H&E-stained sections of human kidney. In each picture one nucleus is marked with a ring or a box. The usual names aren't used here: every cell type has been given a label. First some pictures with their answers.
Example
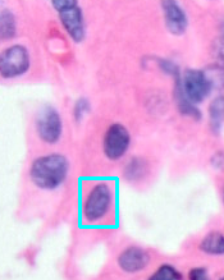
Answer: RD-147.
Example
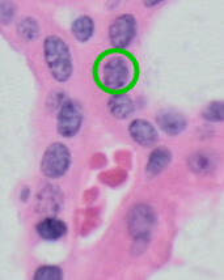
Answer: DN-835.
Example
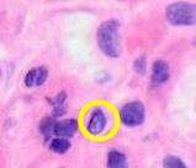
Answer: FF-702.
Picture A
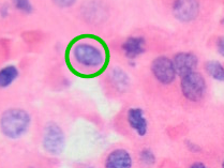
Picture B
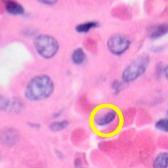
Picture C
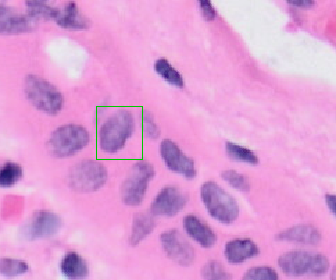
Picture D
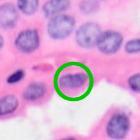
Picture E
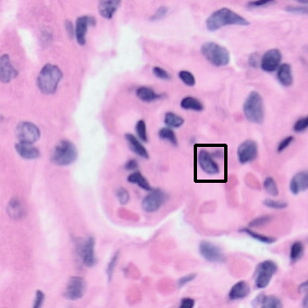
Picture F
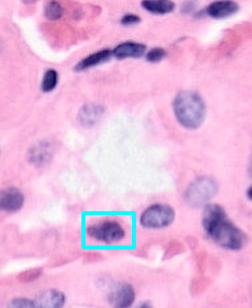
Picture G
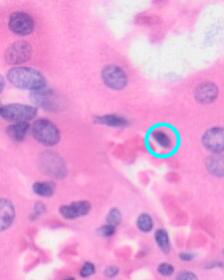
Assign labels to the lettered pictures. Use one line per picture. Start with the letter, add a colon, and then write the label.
A: RD-147.
B: FF-702.
C: DN-835.
D: RD-147.
E: FF-702.
F: RD-147.
G: FF-702.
